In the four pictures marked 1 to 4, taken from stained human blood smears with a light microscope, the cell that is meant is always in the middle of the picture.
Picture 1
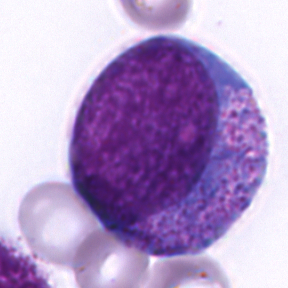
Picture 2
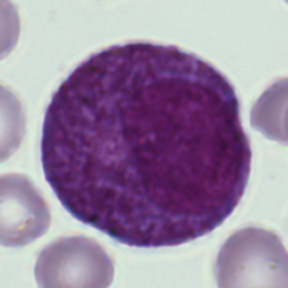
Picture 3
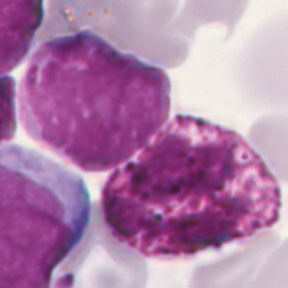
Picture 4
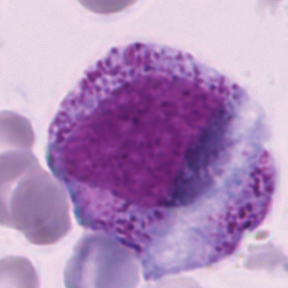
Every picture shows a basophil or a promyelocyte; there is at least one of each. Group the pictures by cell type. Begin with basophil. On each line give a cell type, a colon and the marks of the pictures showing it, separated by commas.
basophil: 3
promyelocyte: 1, 2, 4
